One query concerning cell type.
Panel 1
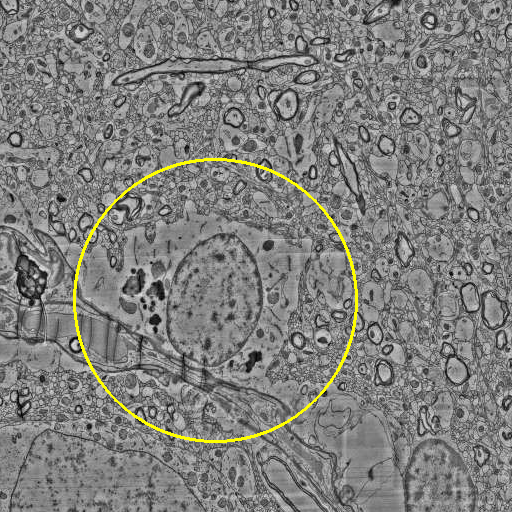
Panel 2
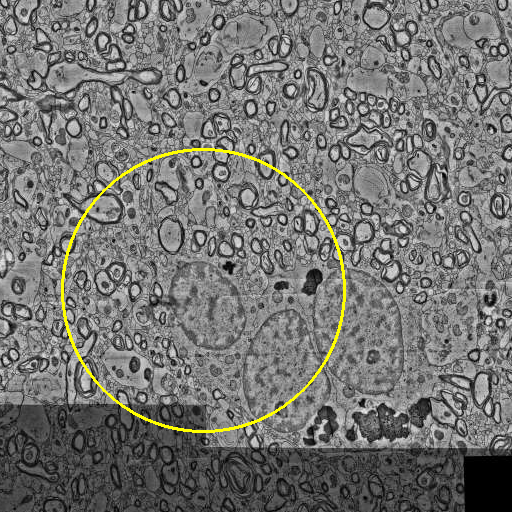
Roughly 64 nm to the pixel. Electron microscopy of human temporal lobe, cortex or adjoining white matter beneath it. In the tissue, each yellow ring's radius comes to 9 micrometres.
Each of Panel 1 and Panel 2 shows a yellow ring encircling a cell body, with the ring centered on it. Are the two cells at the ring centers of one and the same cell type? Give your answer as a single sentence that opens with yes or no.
No, the cell centered in Panel 1 and the one in Panel 2 are of two types.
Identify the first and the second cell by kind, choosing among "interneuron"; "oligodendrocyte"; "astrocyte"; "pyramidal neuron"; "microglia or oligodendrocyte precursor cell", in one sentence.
The one in the first picture is an astrocyte, while the one in the second is an oligodendrocyte.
